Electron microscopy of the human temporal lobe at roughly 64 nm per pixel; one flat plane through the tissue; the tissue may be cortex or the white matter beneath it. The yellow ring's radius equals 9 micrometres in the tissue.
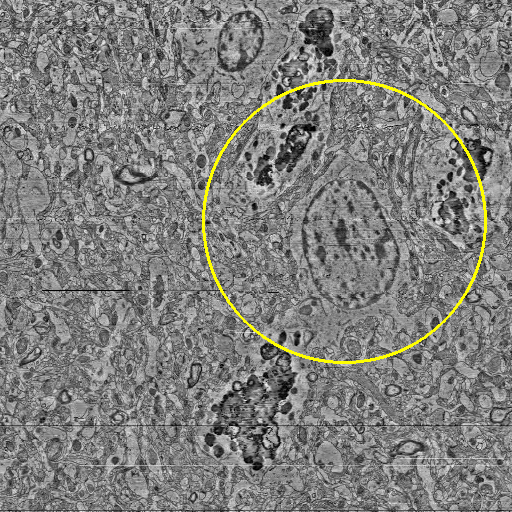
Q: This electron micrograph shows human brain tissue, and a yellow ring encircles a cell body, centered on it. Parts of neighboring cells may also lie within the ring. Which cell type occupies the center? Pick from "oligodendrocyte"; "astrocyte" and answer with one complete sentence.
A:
What sits at the ring's center in this micrograph is an astrocyte, among those choices.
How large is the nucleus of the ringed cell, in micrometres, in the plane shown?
Roughly 9 micrometres by 6 micrometres, in this plane.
